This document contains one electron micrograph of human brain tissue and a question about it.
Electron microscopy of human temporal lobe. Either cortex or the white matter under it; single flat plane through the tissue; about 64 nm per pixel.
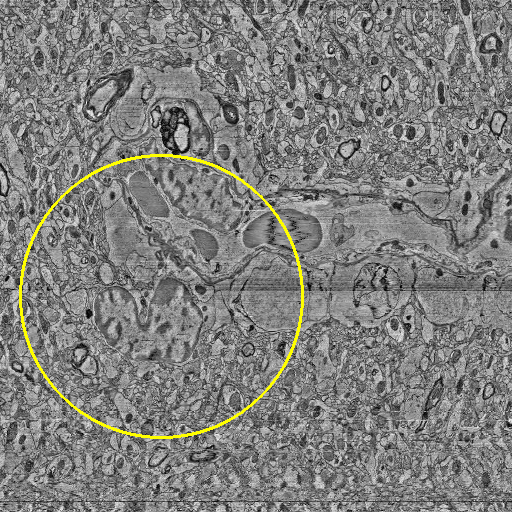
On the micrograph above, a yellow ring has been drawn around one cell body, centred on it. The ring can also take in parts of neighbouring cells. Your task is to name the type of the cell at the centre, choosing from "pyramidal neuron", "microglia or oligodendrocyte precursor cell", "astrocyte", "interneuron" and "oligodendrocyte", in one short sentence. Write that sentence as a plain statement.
Here the ring is centred on a microglial cell or oligodendrocyte precursor cell.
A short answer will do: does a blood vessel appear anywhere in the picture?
Yes, one is visible.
